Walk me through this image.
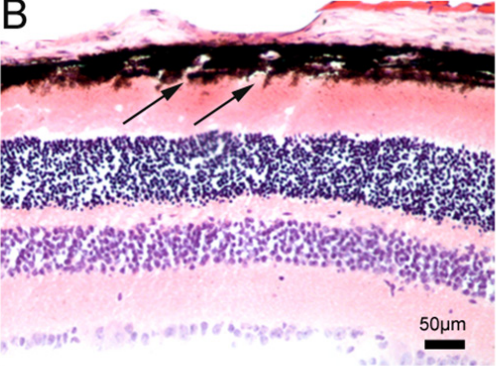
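Layered retina in cross-section: a black pigmented epithelial band lies above a pink band, then a thick layer of densely packed small dark round nuclei, a thin pale pink layer, a layer of larger, paler purple nuclei, a wide pale pink fibrous layer and a sparse row of cells at the bottom. The pigmented band is irregular, with small clear gaps breaking its continuity.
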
